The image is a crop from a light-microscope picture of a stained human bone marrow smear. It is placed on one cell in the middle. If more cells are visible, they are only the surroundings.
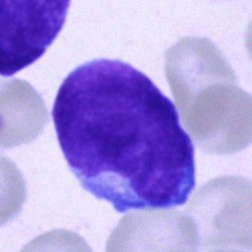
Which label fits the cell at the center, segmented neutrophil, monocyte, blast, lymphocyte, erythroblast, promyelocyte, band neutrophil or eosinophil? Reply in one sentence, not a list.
The middle position in this crop is taken by a blast.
